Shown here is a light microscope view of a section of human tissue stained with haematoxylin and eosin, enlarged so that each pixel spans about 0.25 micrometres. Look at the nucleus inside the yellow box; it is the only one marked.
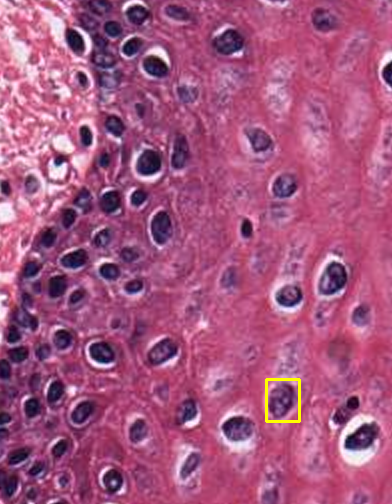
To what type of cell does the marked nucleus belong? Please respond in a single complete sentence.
The marked nucleus here is the nucleus of a squamous epithelial cell.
